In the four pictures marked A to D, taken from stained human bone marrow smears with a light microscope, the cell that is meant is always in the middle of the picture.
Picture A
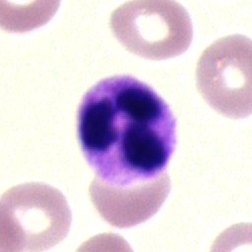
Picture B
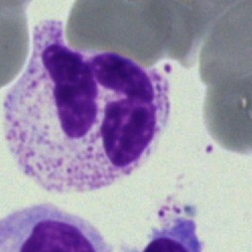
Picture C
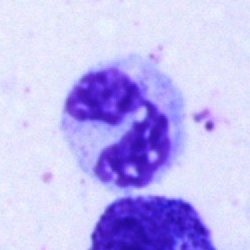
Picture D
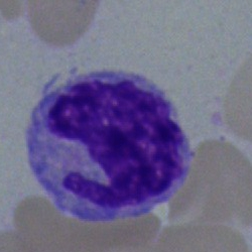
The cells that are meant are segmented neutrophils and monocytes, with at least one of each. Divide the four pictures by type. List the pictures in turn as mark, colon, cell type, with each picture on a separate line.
A: segmented neutrophil
B: segmented neutrophil
C: segmented neutrophil
D: monocyte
